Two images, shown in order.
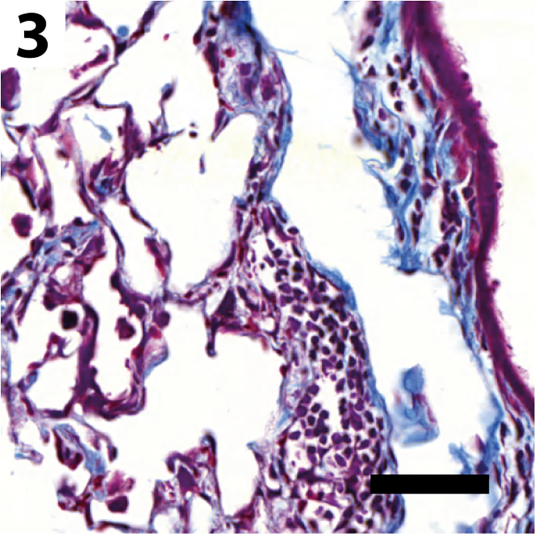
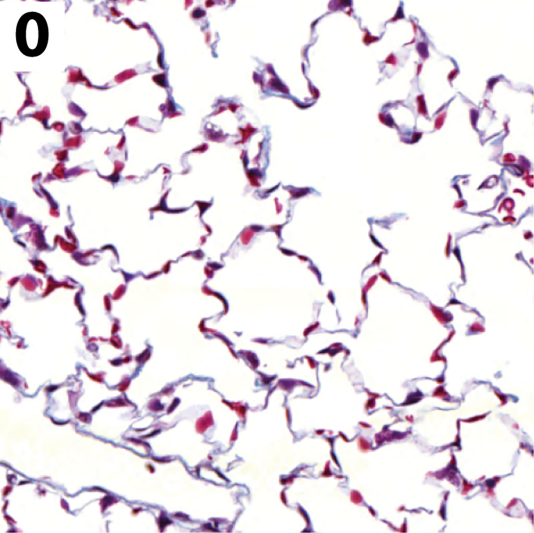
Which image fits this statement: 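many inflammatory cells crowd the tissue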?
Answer: The first image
